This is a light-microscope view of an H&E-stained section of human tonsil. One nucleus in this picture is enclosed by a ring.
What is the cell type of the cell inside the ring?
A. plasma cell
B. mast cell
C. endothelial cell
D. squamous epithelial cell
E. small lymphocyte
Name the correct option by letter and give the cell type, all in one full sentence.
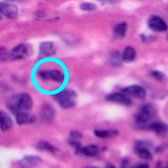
The correct option here, B, identifies the cell inside the ring as a mast cell.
